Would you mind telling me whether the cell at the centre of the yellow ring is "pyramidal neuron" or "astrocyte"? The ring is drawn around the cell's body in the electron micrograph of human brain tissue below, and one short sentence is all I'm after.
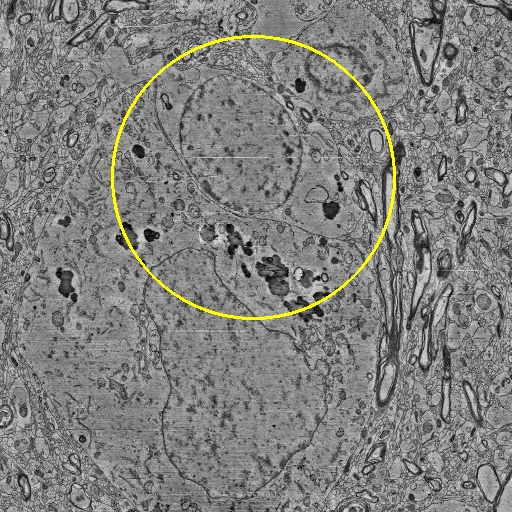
In the centre of the ring lies an astrocyte.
